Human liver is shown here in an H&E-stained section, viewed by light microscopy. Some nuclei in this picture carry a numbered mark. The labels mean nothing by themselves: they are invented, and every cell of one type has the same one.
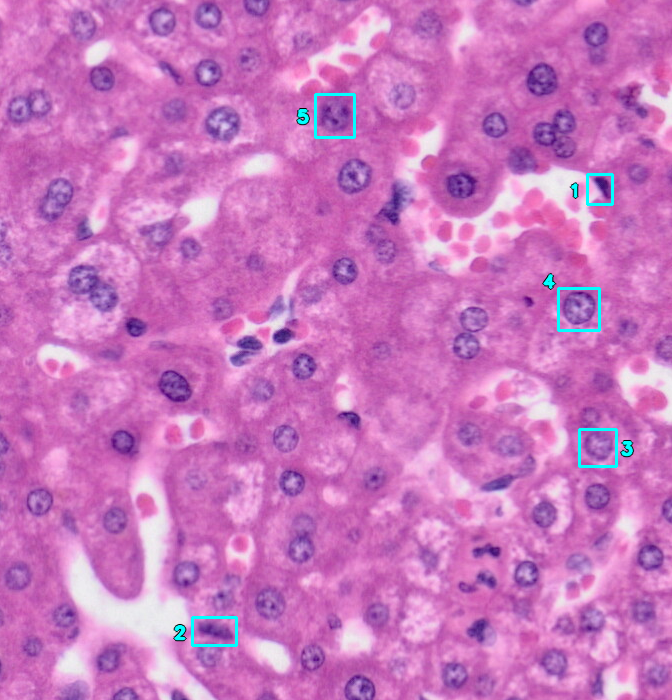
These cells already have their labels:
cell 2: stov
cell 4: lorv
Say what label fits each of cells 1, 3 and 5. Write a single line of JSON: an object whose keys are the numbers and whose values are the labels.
{"1": "stov", "3": "lorv", "5": "lorv"}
